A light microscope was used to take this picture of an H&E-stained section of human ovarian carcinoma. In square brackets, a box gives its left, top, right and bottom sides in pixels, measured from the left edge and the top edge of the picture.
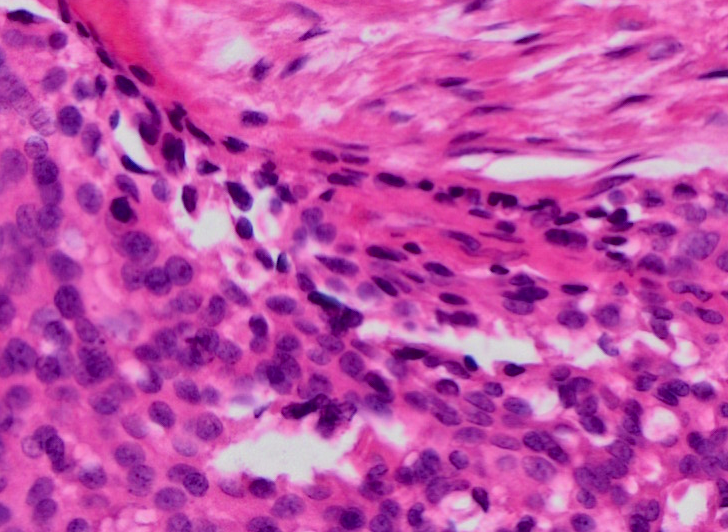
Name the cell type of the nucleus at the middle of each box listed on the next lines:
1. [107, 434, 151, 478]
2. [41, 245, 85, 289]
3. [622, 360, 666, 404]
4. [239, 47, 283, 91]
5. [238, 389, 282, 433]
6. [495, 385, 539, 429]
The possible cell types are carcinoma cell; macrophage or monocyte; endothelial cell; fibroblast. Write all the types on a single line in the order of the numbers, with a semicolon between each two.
carcinoma cell; carcinoma cell; carcinoma cell; fibroblast; macrophage or monocyte; carcinoma cell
